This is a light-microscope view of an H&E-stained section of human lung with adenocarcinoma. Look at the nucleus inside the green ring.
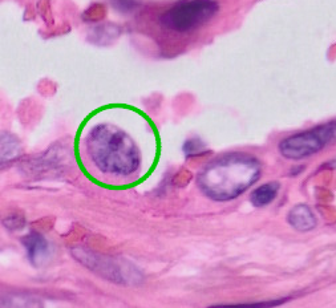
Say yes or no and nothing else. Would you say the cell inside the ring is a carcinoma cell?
yes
